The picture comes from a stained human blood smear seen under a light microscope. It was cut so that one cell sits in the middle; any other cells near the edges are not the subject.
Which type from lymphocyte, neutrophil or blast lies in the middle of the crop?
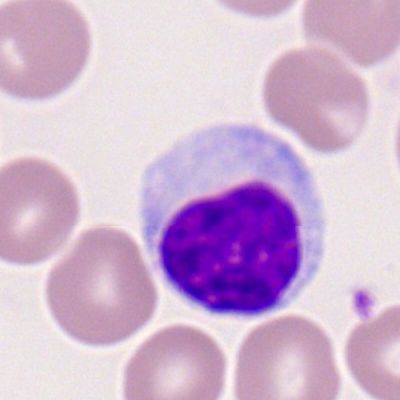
lymphocyte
